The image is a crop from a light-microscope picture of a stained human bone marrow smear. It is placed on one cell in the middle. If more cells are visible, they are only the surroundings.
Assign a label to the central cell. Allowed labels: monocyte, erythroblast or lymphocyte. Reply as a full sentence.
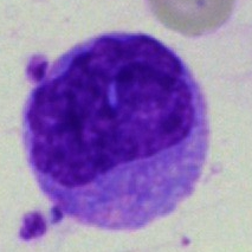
At the crop's centre, the cell is a monocyte.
